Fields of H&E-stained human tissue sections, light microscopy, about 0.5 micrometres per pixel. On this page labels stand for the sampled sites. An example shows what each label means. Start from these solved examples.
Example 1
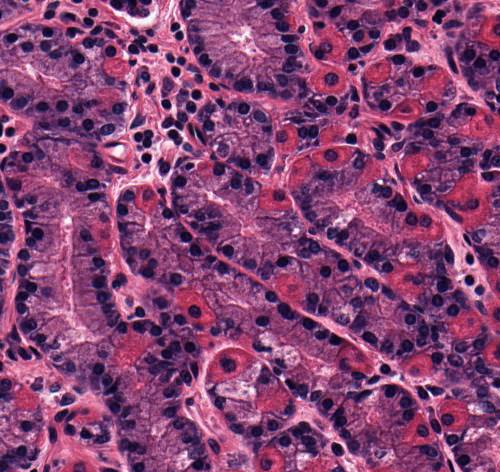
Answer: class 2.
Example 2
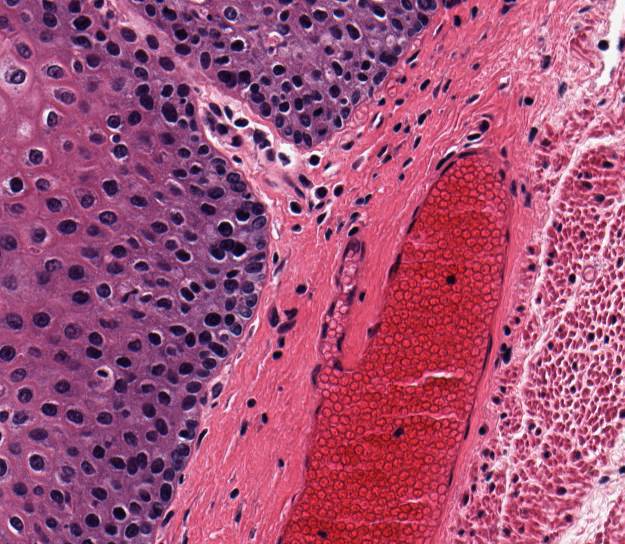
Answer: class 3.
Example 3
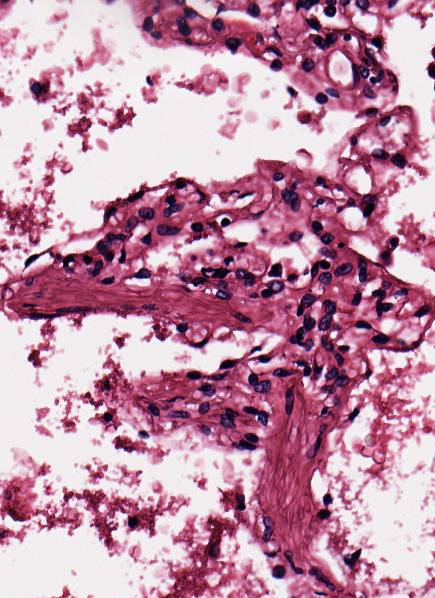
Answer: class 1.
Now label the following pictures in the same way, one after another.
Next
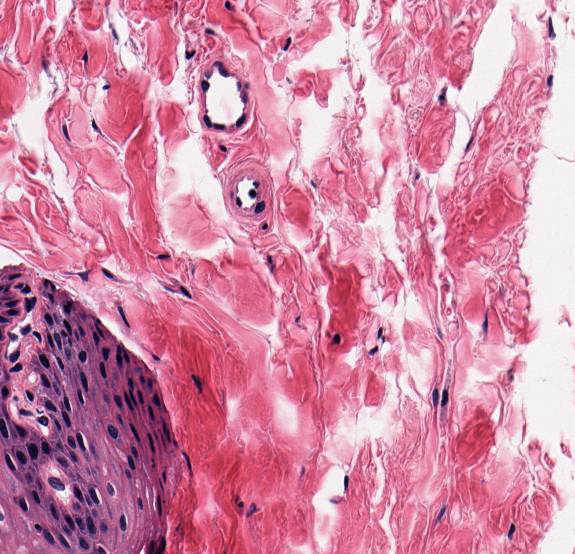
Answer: class 3.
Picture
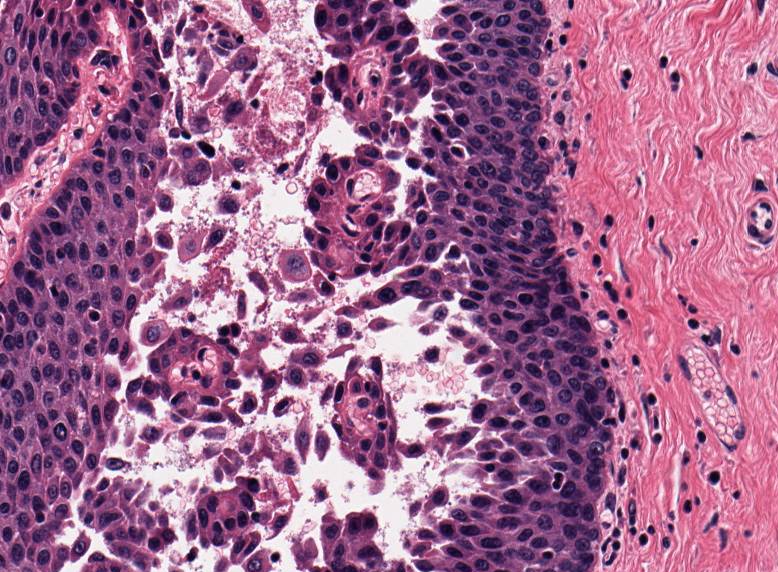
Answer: class 3.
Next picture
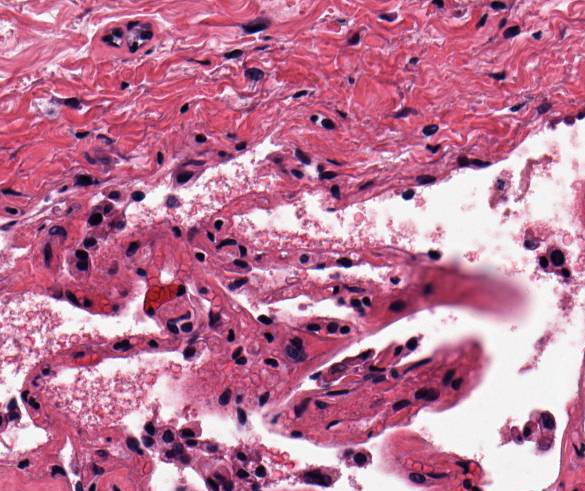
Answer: class 1.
